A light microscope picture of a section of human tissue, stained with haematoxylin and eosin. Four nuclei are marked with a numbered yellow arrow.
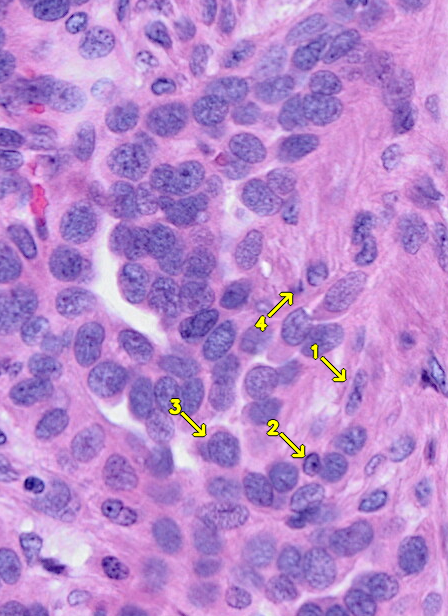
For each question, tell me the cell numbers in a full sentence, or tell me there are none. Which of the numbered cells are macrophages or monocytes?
The cell labelled 2 is a macrophage or monocyte, while the remaining numbered cells are not.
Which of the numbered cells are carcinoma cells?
Only the nucleus marked 3 is that of a carcinoma cell.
